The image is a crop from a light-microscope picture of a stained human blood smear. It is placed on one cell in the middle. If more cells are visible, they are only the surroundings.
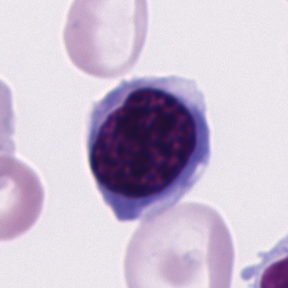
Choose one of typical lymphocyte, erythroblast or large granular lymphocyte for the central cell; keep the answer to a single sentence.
The cell at the heart of this crop is an erythroblast.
